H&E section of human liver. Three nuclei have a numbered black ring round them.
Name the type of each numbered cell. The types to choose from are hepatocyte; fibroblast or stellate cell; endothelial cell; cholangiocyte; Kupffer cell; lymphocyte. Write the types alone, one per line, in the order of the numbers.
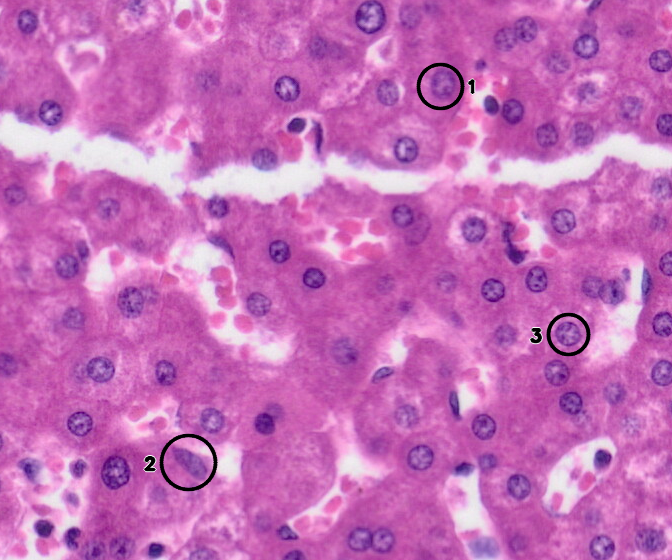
hepatocyte
Kupffer cell
hepatocyte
